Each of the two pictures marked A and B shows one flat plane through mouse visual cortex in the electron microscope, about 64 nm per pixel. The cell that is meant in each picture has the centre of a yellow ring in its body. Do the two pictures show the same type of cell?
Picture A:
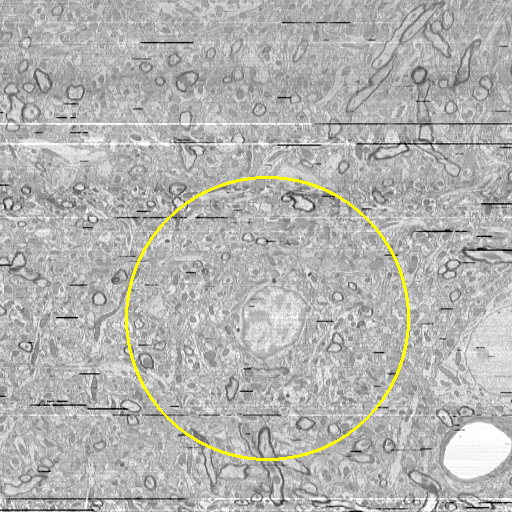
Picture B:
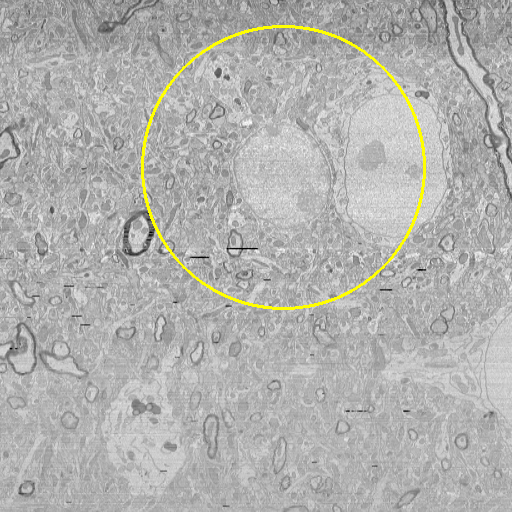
No, picture A shows an oligodendrocyte and picture B shows an astrocyte.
